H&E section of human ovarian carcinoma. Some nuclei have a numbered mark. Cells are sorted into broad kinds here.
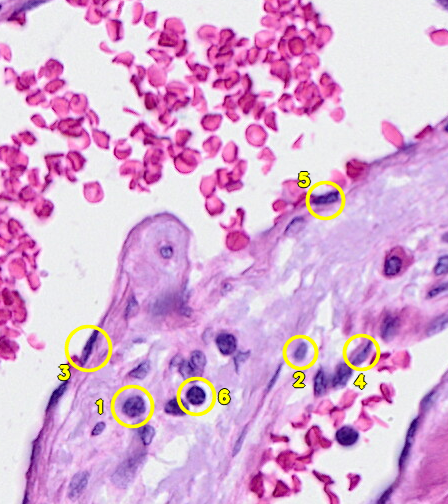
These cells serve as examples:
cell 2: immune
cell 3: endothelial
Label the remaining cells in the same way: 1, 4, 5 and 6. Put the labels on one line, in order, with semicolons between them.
immune; endothelial; endothelial; immune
